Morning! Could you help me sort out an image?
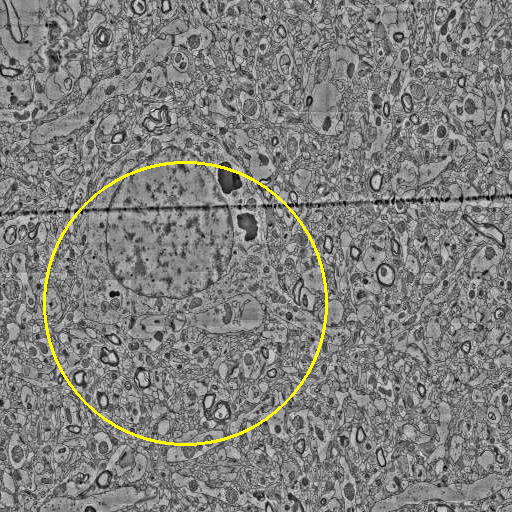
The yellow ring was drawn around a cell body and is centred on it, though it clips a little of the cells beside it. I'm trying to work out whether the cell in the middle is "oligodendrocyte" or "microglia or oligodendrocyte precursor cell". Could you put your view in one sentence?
The ringed cell body is that of an oligodendrocyte.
